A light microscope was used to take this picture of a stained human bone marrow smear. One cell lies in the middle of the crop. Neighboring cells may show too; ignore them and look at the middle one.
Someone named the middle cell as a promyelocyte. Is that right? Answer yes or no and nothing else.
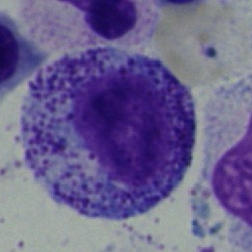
yes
